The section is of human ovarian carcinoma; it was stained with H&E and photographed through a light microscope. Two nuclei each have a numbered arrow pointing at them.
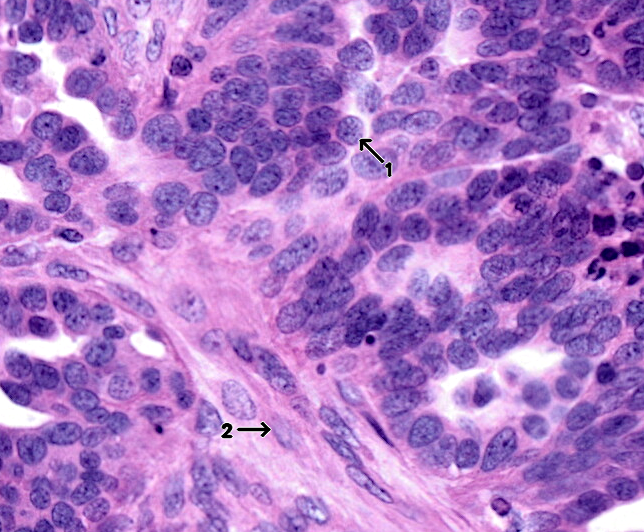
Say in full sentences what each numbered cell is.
Cell 1 is a carcinoma cell. Cell 2 is a fibroblast.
